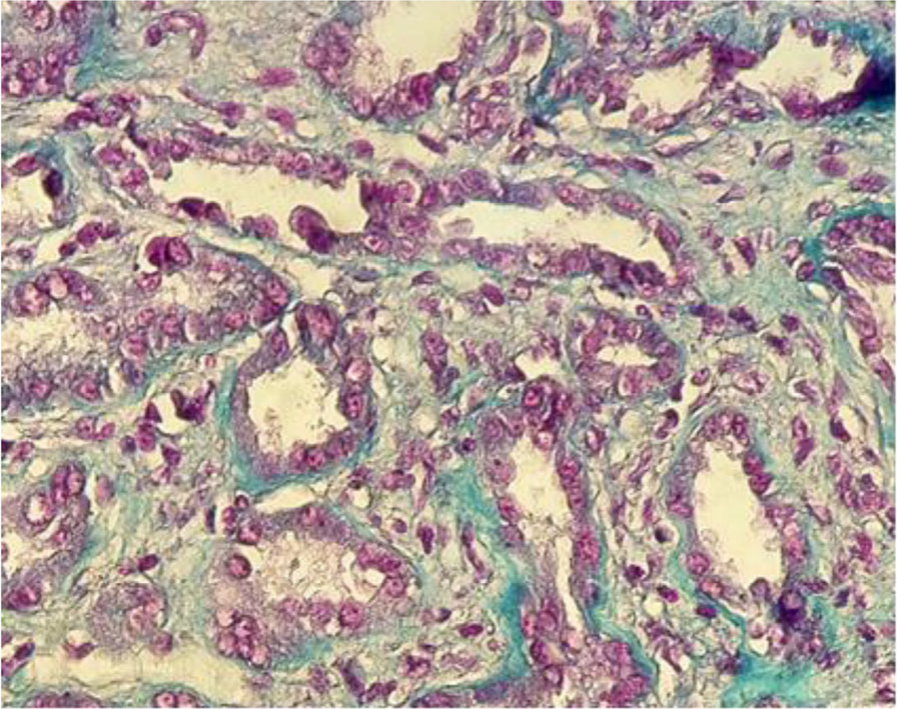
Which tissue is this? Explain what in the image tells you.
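Kidney. Many tubules are cut in cross and long section, each with an open lumen. The tubules are lined by a single layer of cuboidal to low columnar epithelial cells. Green-stained connective tissue lies between the tubules.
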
